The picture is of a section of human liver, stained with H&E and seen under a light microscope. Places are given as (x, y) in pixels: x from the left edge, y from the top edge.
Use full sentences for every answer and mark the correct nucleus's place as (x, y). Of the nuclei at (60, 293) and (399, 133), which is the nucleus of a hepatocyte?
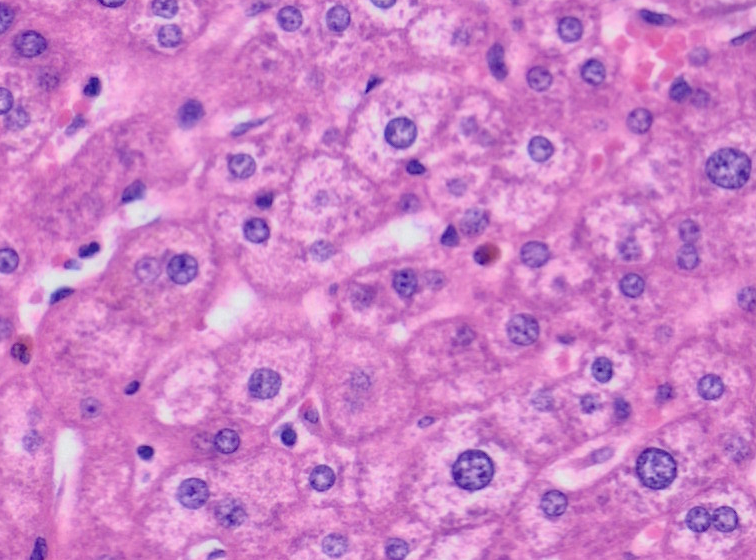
Of the two, the nucleus at (399, 133) is the one contained in a hepatocyte.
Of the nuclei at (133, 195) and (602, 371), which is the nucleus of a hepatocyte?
Of the two, the nucleus lying at (602, 371) is the one belonging to a hepatocyte.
